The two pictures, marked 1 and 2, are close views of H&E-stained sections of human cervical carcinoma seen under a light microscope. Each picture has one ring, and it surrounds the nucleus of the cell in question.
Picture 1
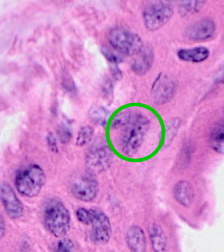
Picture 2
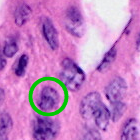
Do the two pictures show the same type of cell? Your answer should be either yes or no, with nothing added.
yes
